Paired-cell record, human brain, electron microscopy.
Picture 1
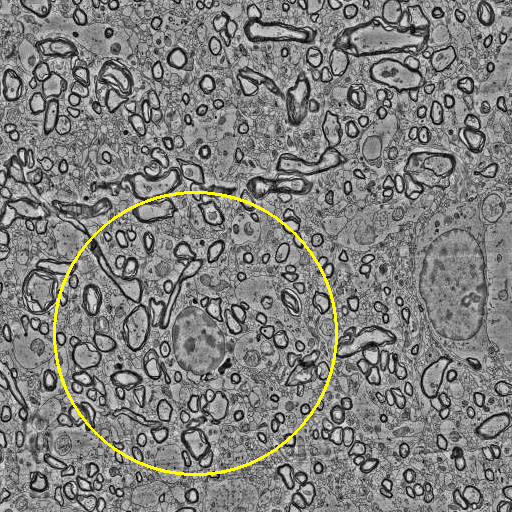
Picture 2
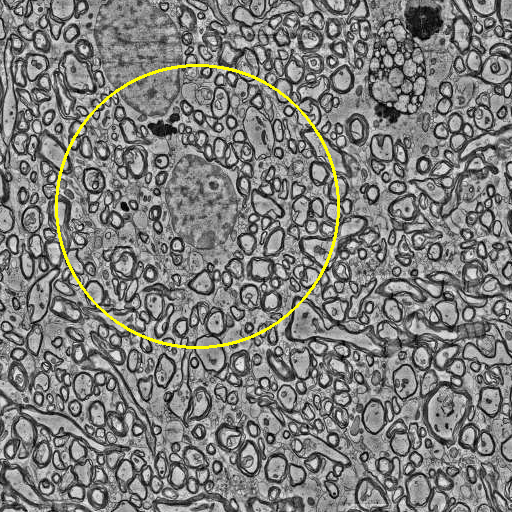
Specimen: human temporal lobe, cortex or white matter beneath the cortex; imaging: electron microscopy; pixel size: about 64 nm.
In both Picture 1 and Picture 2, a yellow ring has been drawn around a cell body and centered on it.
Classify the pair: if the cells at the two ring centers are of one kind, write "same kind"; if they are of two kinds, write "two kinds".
two kinds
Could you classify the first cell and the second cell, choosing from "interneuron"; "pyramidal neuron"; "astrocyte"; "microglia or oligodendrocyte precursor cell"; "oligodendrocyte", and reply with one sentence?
The second cell is an oligodendrocyte, while the first is a microglial cell or oligodendrocyte precursor cell.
